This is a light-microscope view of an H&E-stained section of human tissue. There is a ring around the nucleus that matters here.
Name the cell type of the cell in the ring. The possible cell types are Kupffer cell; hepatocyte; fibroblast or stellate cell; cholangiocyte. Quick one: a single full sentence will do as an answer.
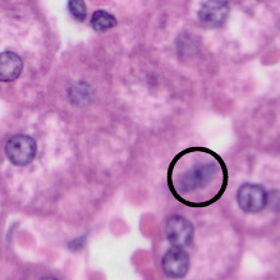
So far as cell type goes, the cell in the ring is a fibroblast or stellate cell.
